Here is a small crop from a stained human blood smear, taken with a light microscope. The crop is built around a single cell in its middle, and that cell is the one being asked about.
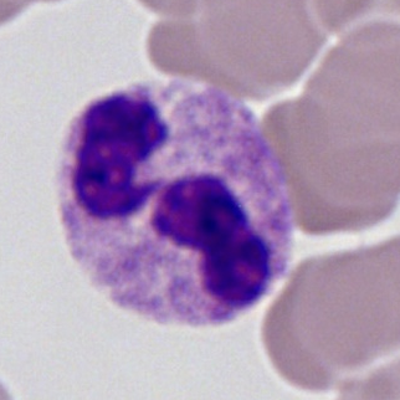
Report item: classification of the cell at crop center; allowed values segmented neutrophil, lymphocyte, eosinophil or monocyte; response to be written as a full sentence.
Looking at the middle of the crop, the cell there is a segmented neutrophil.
